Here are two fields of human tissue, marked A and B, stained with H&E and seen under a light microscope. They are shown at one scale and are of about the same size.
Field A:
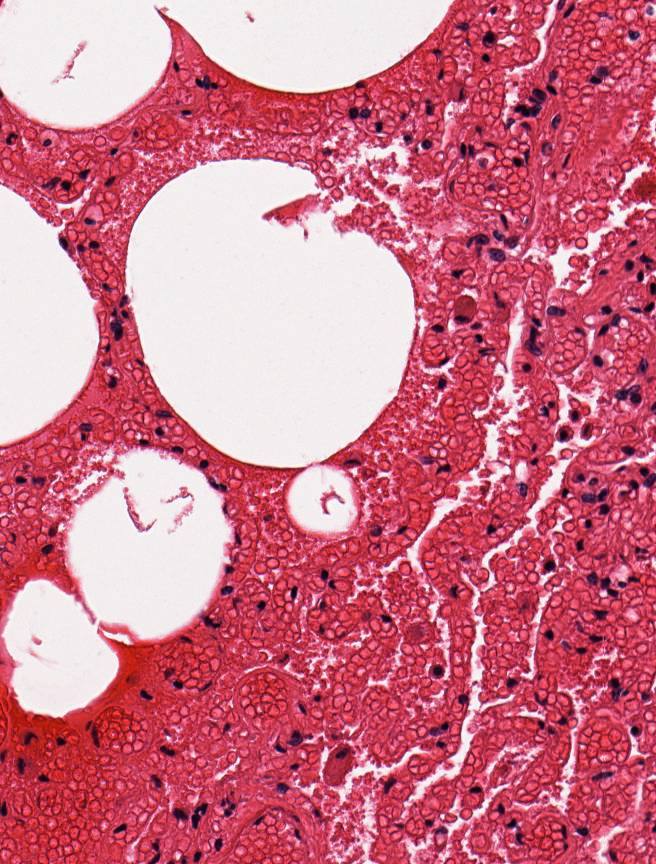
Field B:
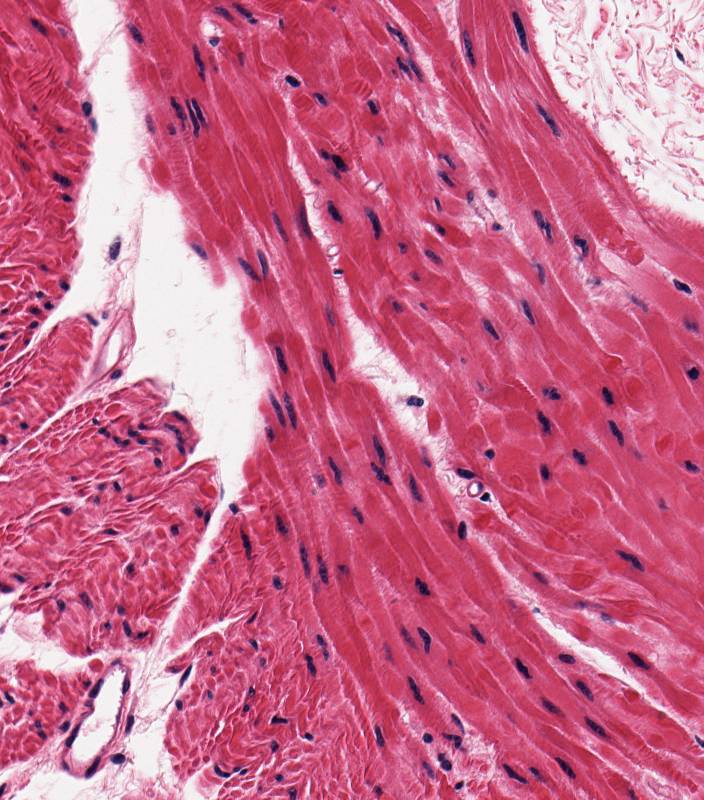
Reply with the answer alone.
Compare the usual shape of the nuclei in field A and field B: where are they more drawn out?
B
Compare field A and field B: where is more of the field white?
A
